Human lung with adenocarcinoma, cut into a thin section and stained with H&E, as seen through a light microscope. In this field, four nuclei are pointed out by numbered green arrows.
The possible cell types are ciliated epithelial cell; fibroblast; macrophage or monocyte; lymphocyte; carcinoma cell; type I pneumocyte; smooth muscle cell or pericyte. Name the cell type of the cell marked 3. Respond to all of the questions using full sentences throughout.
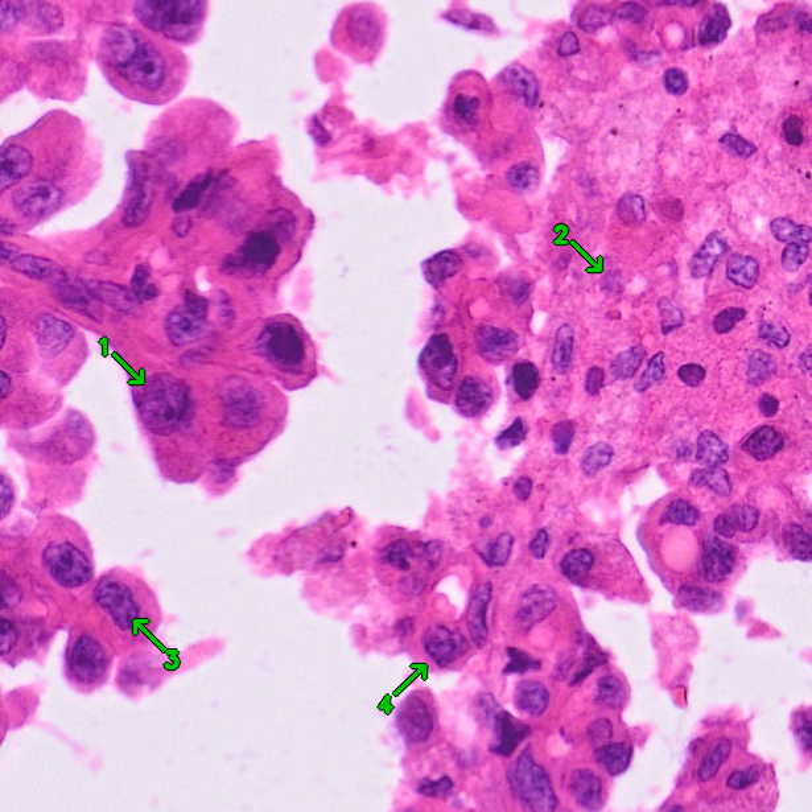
Cell 3 should be recorded as a carcinoma cell.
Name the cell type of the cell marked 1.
The cell given label 1 is a carcinoma cell.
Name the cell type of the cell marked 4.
In this section, the cell tagged 4 is a carcinoma cell.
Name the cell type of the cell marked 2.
In this section, number 2 marks a macrophage or monocyte.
